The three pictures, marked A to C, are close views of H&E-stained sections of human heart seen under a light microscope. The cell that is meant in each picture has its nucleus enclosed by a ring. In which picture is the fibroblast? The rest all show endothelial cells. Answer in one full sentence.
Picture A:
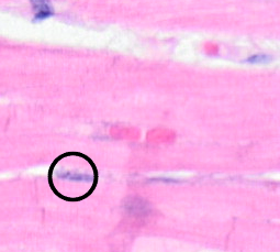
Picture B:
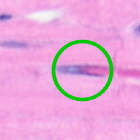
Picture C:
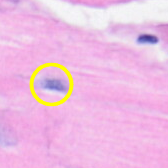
The fibroblast is the one in picture A.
